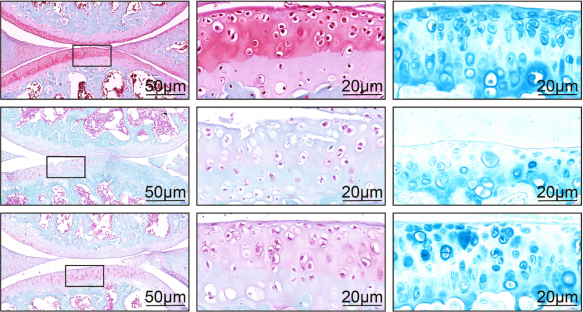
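This block shows articular cartilage at low and high magnification, with rounded chondrocytes sitting in lacunae within abundant matrix. In the middle row the red and blue matrix staining is largely lost, the matrix looks pale and the cartilage appears thinner. The bottom row is intermediate, with partial red and blue matrix staining around the chondrocytes.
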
